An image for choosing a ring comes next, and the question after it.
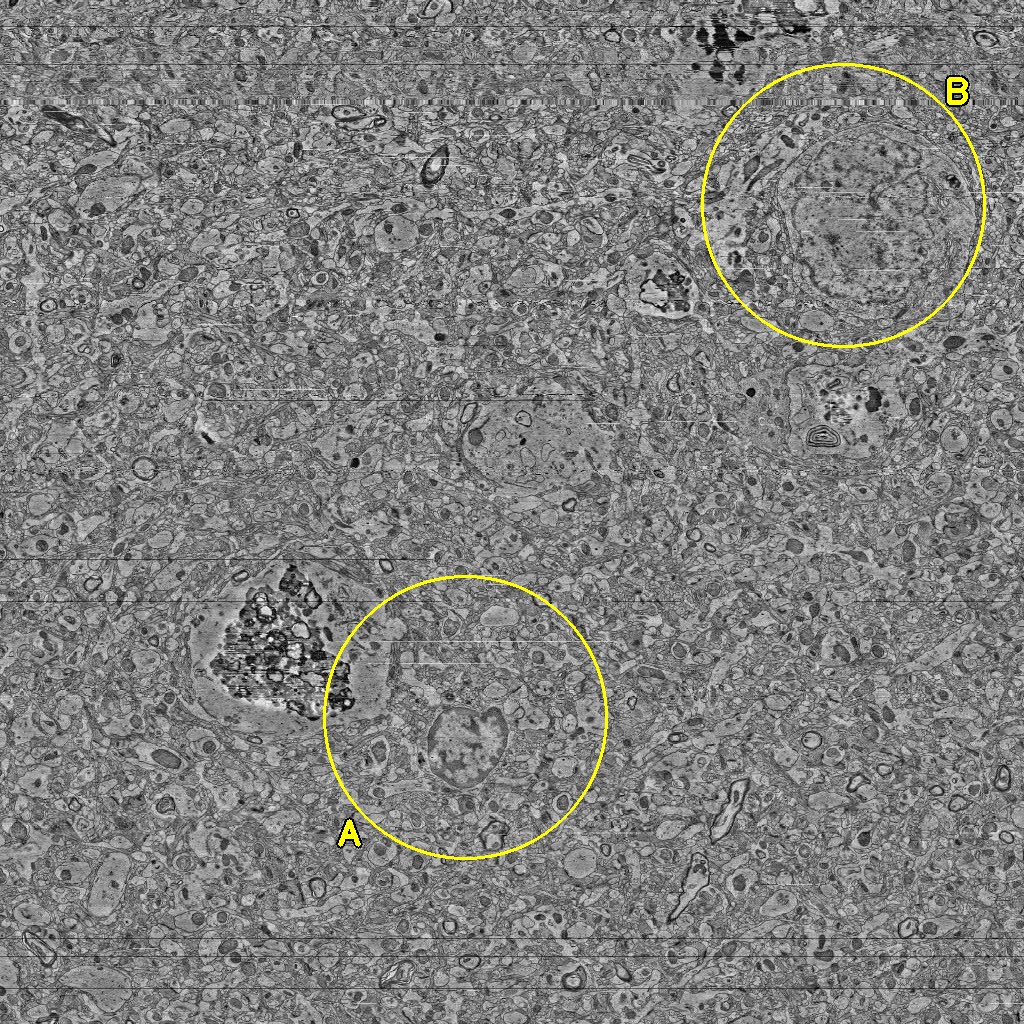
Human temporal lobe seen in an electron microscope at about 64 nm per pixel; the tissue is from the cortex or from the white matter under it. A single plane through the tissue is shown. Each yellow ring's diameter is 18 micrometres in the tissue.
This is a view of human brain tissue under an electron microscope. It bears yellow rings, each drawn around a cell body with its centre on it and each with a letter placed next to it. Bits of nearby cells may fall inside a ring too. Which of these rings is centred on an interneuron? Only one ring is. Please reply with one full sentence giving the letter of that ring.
Of all the lettered rings, B is the one centred on a cell of that kind.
